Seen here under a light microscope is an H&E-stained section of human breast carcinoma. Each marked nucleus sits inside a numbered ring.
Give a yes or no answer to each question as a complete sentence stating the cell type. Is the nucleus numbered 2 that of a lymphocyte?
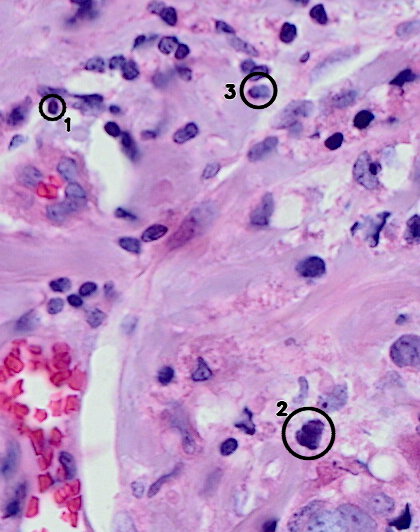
No, cell 2 is not a lymphocyte, but is instead a carcinoma cell.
